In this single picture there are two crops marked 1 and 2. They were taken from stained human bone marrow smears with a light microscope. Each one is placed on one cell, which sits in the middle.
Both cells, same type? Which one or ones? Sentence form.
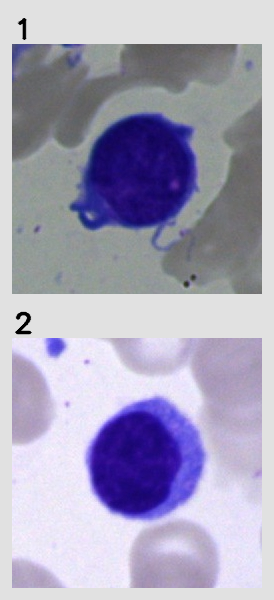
No, a blast is what occupies crop 1, and a lymphocyte is what occupies crop 2.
